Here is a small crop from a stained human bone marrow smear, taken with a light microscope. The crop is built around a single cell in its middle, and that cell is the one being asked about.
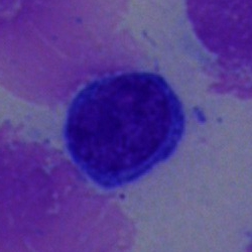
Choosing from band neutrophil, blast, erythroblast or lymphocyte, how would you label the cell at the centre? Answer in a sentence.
The cell positioned in the middle of the field is a lymphocyte.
